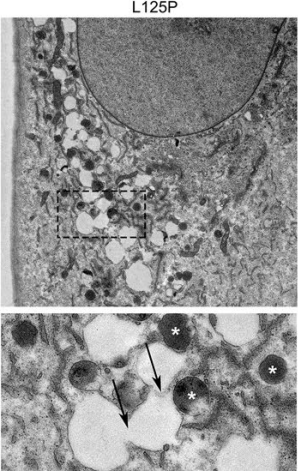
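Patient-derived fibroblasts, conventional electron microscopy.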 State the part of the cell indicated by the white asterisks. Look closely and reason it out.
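Round membrane-bound organelles with a dark, electron-dense content. They lie next to pale vacuoles in the enlarged lower view.
Dense core lysosomes.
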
